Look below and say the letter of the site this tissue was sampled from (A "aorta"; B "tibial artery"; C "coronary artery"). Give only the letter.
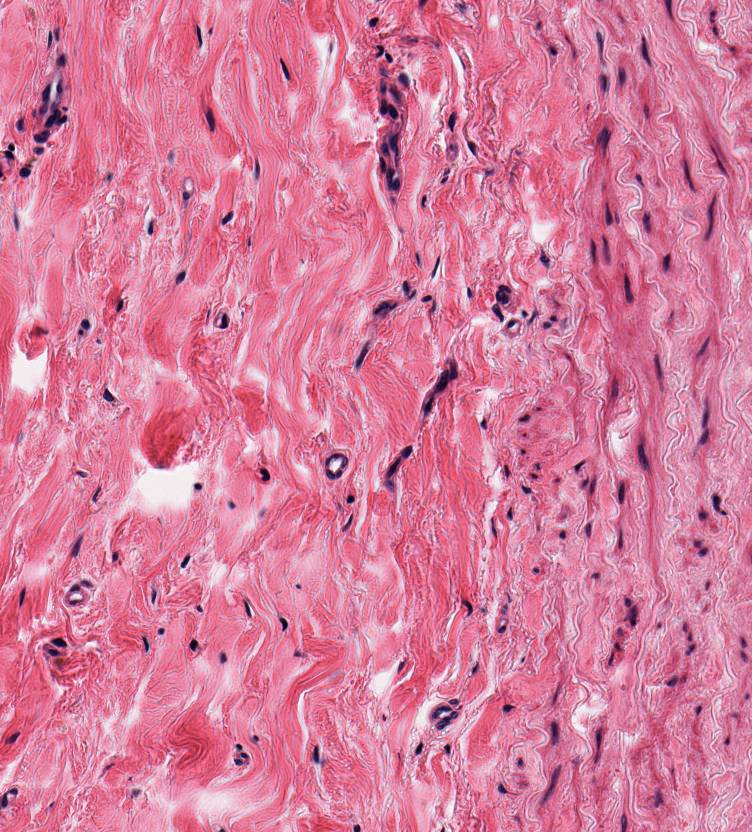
A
